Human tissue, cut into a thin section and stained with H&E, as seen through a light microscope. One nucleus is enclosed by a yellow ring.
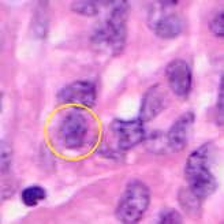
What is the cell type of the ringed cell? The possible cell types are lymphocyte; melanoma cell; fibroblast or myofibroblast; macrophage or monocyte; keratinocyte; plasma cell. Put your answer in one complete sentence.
As a matter of cell type, the ringed cell is a melanoma cell.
